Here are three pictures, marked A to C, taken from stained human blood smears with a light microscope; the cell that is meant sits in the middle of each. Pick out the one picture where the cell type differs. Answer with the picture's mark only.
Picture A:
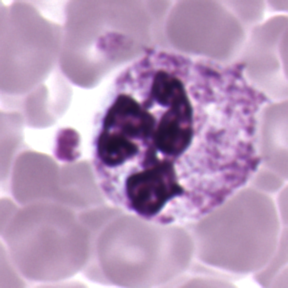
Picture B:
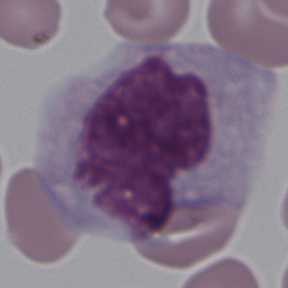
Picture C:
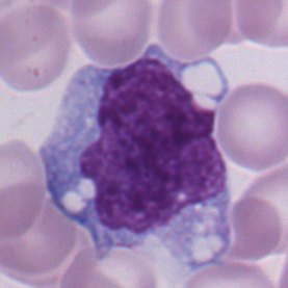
A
